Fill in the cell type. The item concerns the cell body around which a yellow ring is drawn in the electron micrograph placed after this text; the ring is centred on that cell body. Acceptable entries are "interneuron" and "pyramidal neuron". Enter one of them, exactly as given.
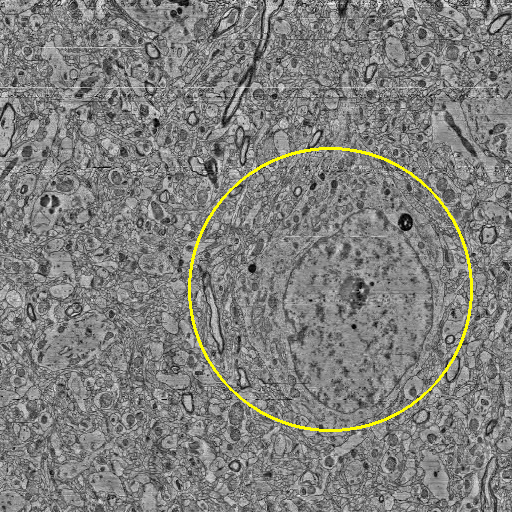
interneuron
